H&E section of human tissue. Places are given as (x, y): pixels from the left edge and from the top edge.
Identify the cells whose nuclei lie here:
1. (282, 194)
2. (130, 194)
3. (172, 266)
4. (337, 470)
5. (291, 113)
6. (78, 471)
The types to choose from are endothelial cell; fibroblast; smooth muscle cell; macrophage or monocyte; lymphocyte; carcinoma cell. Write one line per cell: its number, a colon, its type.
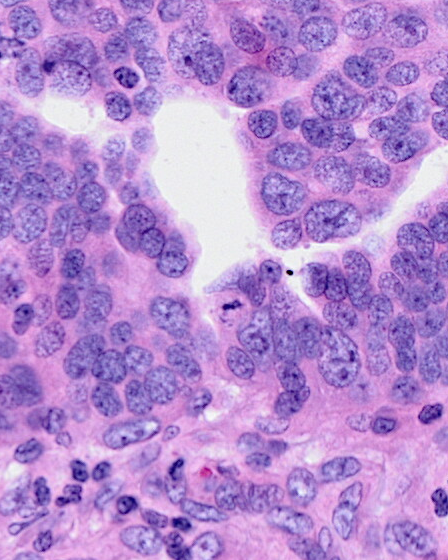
1: carcinoma cell
2: carcinoma cell
3: carcinoma cell
4: fibroblast
5: carcinoma cell
6: lymphocyte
